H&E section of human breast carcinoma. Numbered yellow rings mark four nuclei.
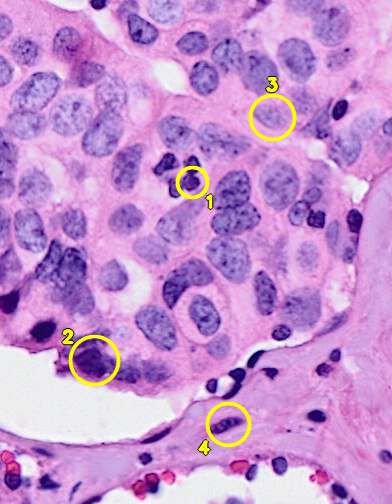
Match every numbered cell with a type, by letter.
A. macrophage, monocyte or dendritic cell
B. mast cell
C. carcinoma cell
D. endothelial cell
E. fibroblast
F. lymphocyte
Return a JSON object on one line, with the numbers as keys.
{"1": "F", "2": "C", "3": "C", "4": "B"}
